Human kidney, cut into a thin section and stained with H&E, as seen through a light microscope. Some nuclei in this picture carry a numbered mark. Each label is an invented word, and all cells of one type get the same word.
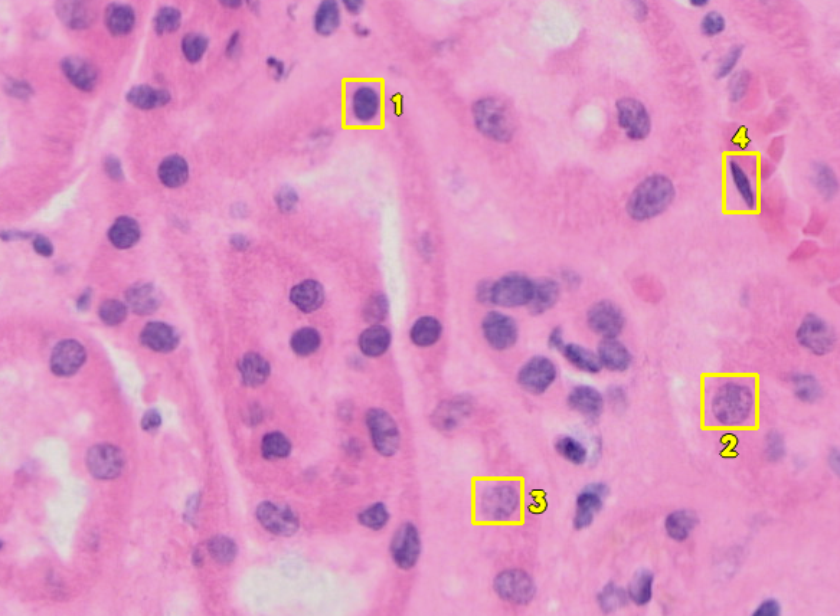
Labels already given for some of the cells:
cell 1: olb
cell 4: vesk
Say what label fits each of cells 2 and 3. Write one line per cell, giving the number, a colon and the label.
2: olb
3: olb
